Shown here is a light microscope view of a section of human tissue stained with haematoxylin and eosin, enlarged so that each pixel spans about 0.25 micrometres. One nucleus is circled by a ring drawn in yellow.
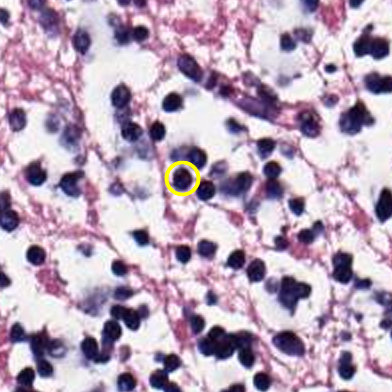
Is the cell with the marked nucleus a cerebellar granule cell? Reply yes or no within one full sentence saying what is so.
Yes, it is a cerebellar granule cell to which the marked nucleus belongs.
